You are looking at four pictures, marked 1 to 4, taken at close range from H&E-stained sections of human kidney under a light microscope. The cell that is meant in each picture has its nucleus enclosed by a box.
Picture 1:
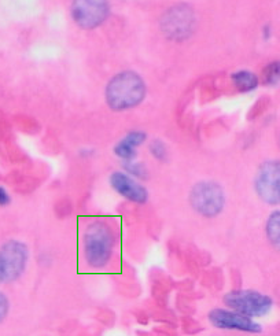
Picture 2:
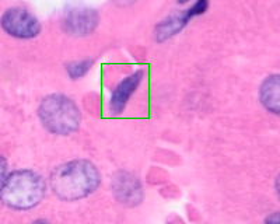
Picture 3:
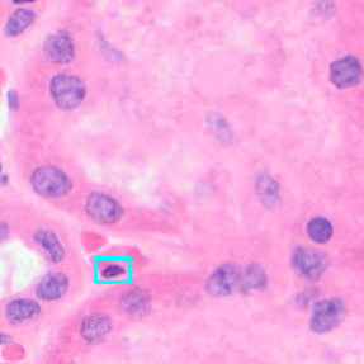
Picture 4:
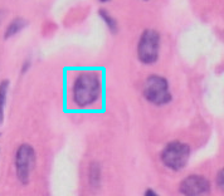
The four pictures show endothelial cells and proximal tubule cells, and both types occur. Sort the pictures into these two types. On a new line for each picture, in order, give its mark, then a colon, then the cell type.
1: endothelial cell
2: endothelial cell
3: endothelial cell
4: proximal tubule cell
